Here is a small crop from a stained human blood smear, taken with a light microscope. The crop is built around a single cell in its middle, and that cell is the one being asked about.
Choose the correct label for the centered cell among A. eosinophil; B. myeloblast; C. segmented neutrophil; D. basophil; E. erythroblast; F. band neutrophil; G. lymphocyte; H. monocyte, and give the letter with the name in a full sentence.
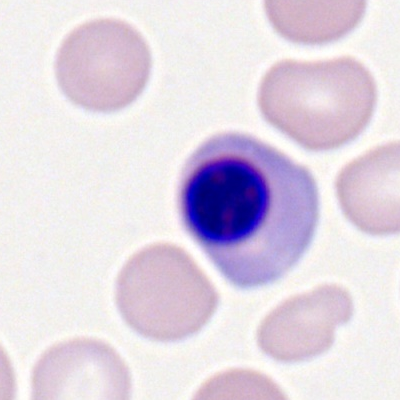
Option E gets it right: the cell in the middle is an erythroblast.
